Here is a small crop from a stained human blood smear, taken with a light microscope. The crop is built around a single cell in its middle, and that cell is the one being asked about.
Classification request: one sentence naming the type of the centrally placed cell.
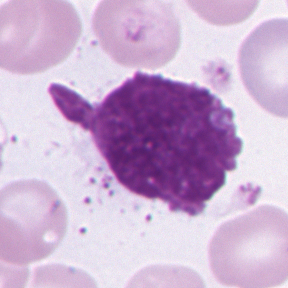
Answering briefly, the cell in the middle is a smudge cell.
